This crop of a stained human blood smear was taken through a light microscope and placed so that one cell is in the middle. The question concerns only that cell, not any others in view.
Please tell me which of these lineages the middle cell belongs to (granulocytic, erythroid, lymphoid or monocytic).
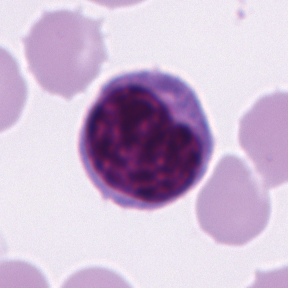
erythroid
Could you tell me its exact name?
normoblast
